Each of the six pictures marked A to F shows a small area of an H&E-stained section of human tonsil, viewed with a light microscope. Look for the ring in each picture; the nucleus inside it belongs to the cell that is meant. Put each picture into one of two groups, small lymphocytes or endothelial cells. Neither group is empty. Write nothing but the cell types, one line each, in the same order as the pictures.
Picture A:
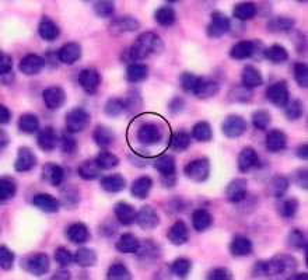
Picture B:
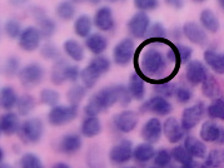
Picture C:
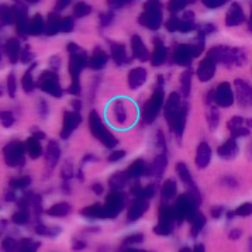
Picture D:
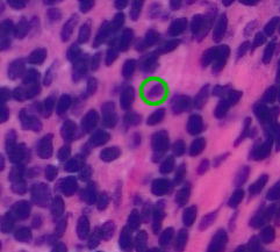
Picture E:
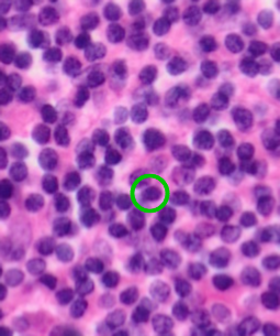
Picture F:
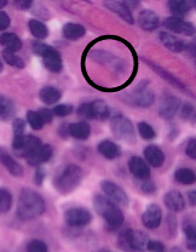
small lymphocyte
small lymphocyte
endothelial cell
endothelial cell
small lymphocyte
endothelial cell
